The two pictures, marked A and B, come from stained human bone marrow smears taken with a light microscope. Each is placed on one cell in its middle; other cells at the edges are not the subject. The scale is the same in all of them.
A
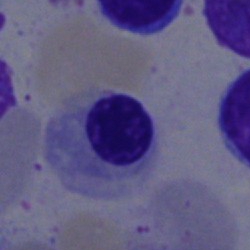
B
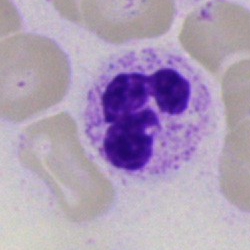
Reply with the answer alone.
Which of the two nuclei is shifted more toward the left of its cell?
B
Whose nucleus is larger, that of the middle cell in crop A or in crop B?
B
